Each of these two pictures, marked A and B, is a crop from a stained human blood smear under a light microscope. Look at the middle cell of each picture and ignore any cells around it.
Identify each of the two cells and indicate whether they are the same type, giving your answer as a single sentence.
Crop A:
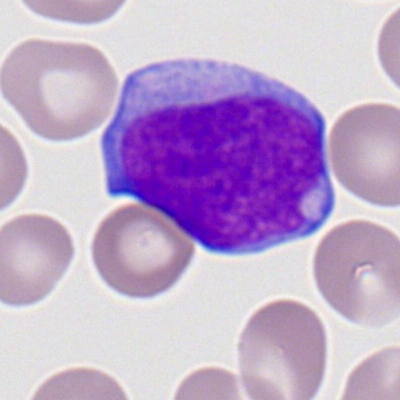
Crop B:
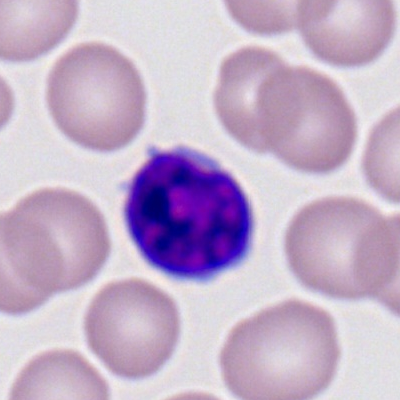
No, crop A presents a myeloblast; crop B presents a lymphocyte.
